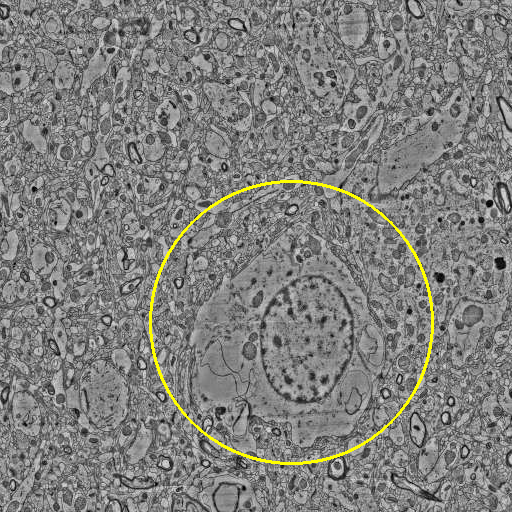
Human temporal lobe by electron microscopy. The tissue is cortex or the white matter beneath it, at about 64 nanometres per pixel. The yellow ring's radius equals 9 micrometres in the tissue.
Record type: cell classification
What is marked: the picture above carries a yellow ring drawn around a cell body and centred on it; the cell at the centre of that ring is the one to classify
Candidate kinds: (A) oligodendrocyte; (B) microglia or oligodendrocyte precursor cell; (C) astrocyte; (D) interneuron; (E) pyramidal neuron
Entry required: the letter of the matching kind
C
